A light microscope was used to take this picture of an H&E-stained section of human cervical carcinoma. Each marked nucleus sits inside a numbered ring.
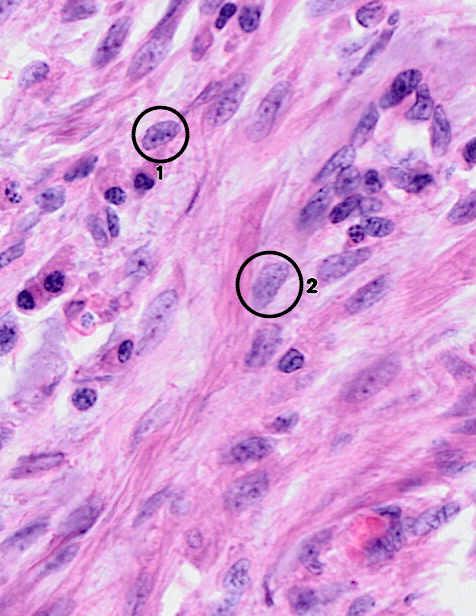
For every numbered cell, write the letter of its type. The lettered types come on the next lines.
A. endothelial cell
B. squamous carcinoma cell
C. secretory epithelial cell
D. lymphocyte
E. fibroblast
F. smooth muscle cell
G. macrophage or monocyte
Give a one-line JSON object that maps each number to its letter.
{"1": "G", "2": "E"}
